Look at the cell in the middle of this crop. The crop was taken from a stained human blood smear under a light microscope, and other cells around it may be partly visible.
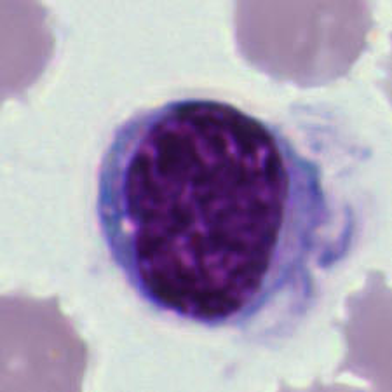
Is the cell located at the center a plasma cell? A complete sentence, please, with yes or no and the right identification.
Yes, the cell under consideration, the one in the middle, is a plasma cell.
